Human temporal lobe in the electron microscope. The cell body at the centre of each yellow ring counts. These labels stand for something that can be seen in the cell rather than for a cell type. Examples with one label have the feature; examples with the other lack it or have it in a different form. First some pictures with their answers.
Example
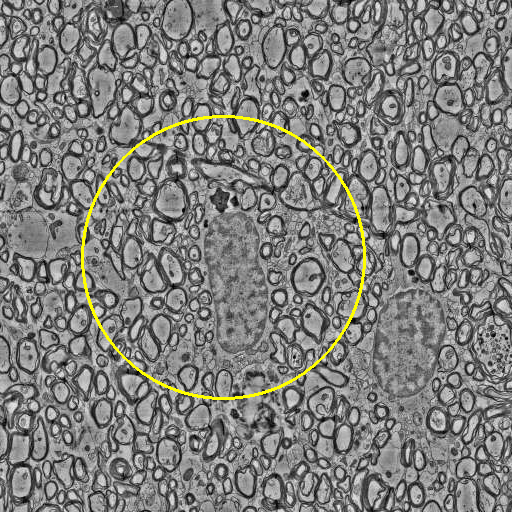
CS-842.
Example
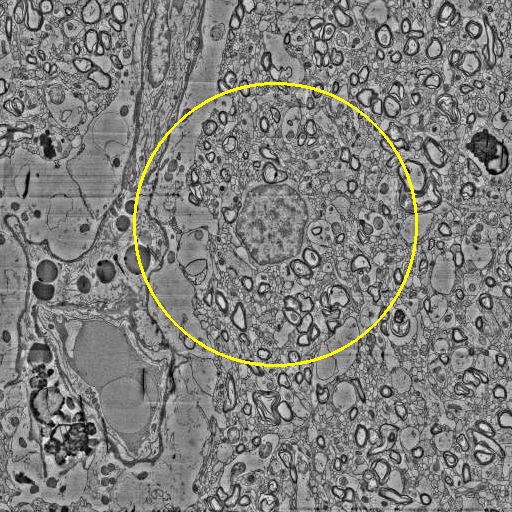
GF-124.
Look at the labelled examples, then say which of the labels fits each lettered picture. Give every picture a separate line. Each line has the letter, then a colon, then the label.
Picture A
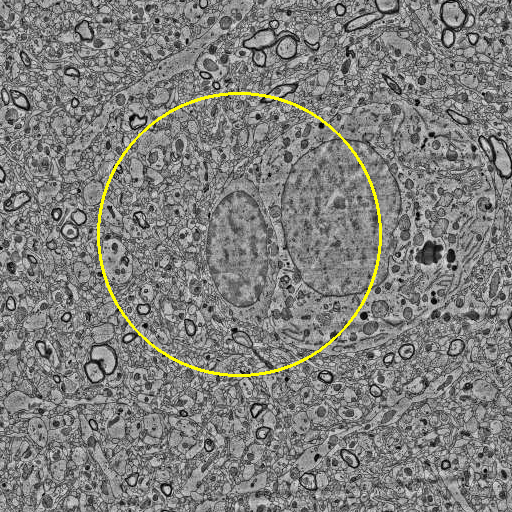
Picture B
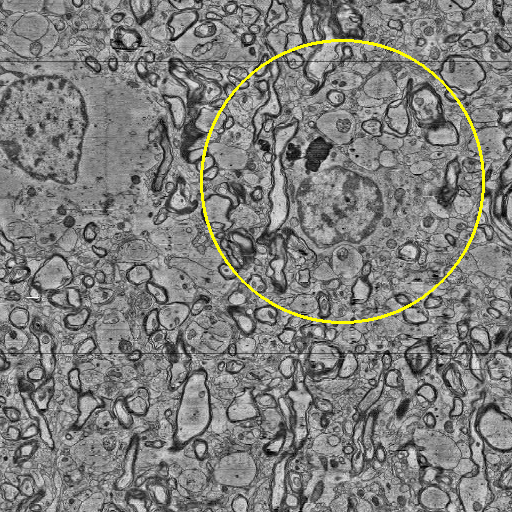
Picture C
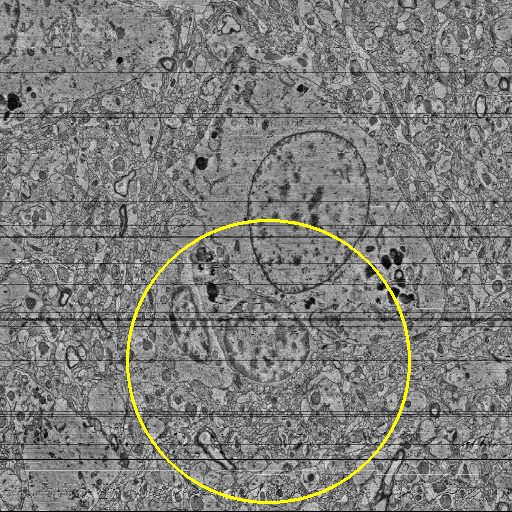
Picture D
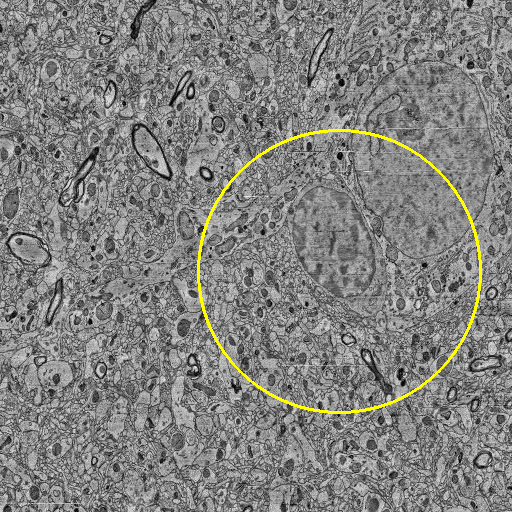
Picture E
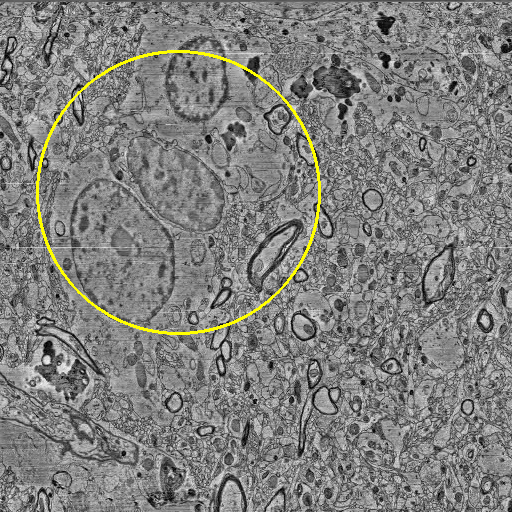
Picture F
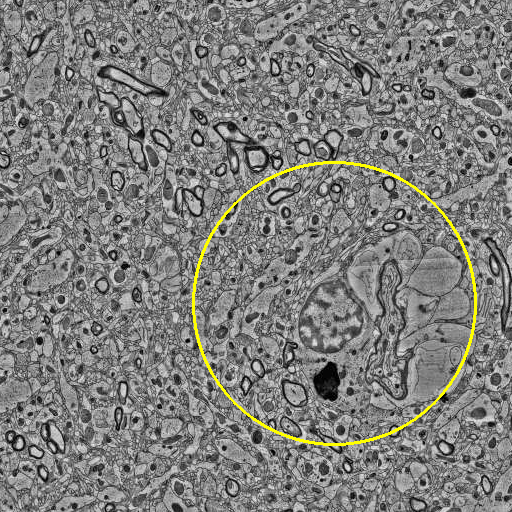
A: CS-842.
B: GF-124.
C: GF-124.
D: CS-842.
E: CS-842.
F: GF-124.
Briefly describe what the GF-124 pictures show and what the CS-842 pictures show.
GF-124: round or nearly round nuclei; CS-842: clearly elongated nuclei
